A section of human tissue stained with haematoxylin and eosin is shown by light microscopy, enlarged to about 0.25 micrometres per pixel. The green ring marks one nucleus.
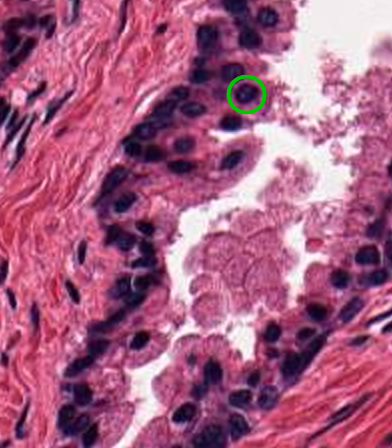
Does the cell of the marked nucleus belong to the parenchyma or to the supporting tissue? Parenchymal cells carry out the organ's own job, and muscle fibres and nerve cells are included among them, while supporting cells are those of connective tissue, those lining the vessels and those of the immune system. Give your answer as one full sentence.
Belonging to a parenchymal cell, the marked nucleus is that of a prostate gland luminal cell.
